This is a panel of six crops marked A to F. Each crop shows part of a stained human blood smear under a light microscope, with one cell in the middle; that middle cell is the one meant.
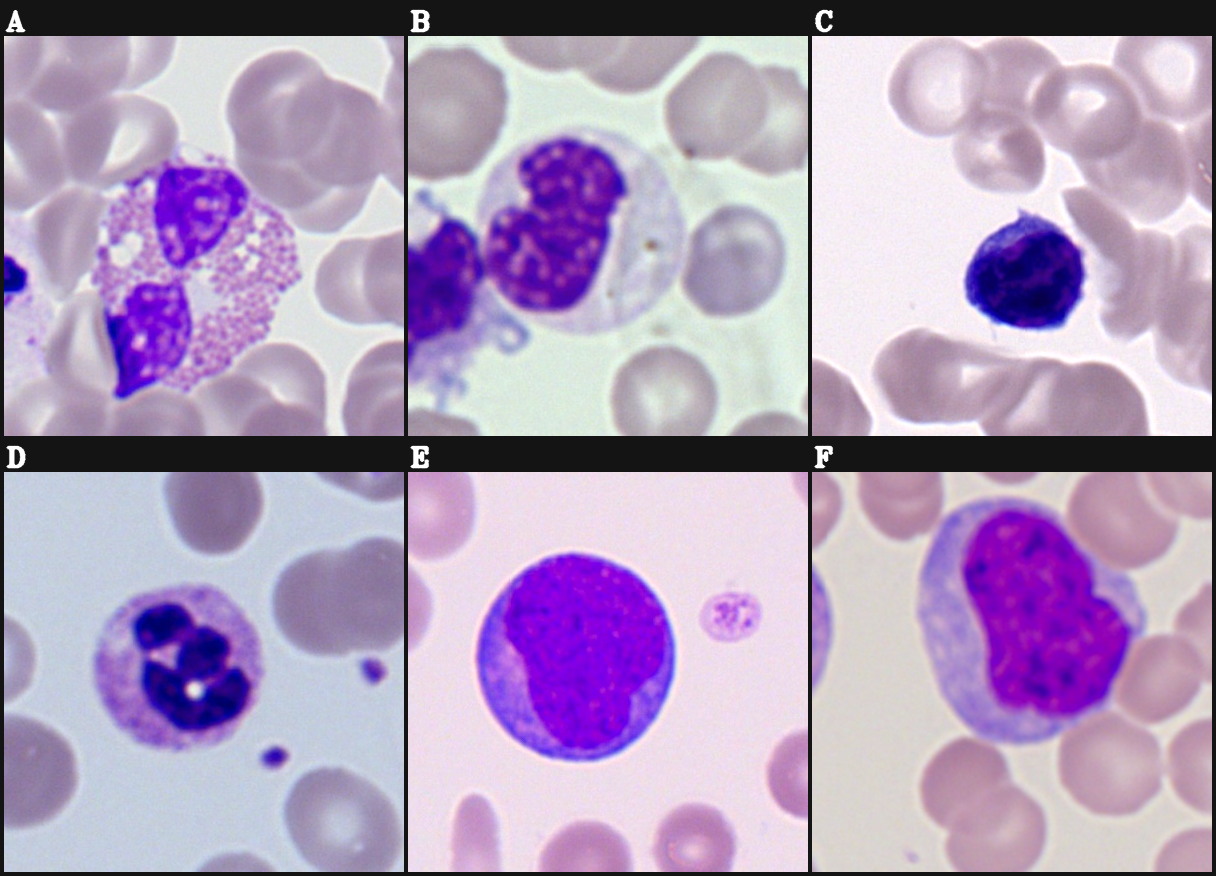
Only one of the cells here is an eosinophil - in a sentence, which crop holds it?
It is crop A that shows an eosinophil.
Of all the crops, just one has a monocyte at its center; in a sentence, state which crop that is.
As for which crop shows a monocyte, it is crop F.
